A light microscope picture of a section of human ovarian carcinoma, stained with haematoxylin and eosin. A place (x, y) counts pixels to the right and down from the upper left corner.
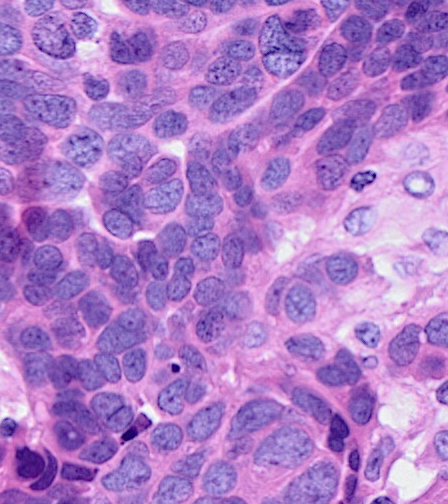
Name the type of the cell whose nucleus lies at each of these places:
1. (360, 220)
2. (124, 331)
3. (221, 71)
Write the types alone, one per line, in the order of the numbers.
fibroblast
carcinoma cell
carcinoma cell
